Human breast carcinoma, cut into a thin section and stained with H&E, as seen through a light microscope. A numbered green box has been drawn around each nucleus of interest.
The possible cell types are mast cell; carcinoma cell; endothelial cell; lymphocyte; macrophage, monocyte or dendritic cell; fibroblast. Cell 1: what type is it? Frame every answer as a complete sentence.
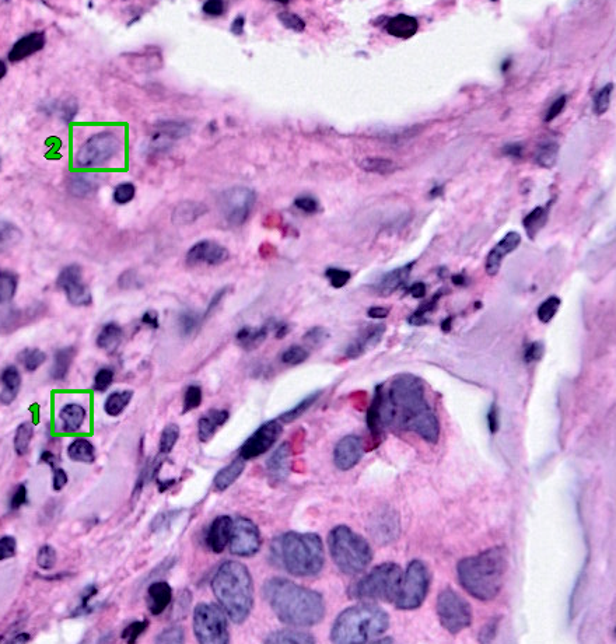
In the marked set, the cell given number 1 is a lymphocyte.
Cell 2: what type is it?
The cell that carries the label 2 is an endothelial cell.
